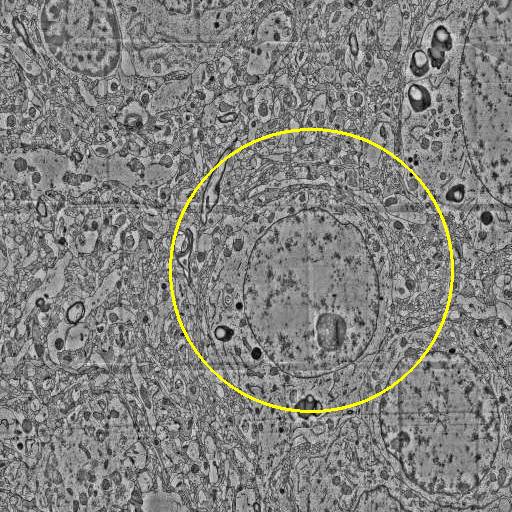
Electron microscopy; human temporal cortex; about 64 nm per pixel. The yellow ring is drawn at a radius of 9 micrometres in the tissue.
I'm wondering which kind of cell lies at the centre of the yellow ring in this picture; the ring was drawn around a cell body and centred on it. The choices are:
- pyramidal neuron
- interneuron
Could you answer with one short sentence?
At the centre of the ring lies a pyramidal neuron.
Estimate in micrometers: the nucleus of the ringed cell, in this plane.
The nucleus appears roughly 11 by 9 micrometres in this plane.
